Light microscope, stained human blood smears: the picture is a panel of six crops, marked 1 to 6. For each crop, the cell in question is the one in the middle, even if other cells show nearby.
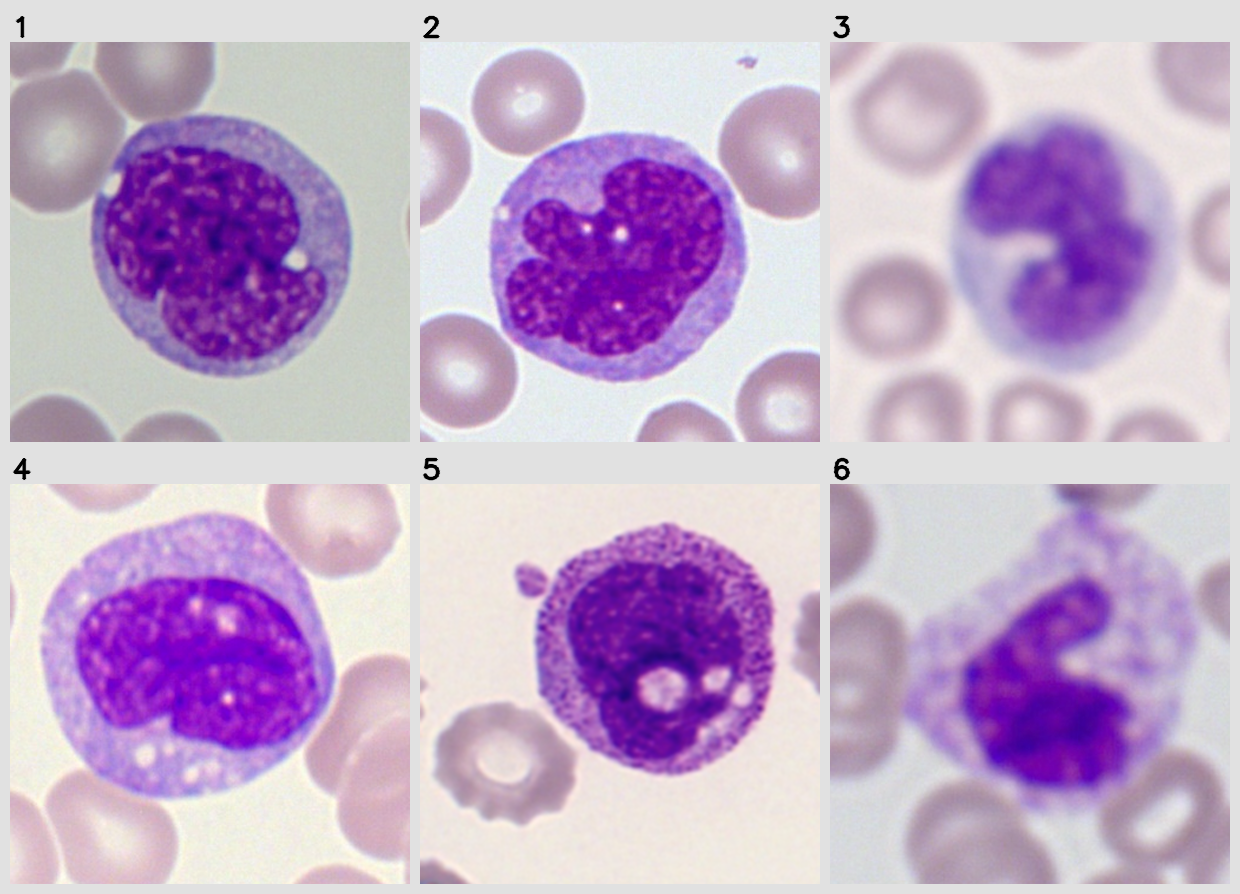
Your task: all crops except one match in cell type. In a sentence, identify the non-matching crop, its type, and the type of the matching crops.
In crop 6 the central cell is a neutrophil, whereas the other crops all contain monocytes.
